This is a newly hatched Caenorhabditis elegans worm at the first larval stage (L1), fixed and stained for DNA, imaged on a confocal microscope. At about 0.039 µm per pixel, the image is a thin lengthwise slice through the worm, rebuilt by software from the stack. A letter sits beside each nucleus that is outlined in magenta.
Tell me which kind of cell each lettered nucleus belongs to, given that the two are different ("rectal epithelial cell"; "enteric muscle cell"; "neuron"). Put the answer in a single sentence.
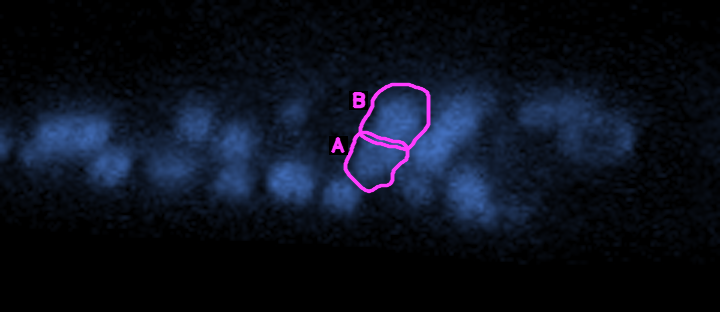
A belongs to a rectal epithelial cell and B to a neuron.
